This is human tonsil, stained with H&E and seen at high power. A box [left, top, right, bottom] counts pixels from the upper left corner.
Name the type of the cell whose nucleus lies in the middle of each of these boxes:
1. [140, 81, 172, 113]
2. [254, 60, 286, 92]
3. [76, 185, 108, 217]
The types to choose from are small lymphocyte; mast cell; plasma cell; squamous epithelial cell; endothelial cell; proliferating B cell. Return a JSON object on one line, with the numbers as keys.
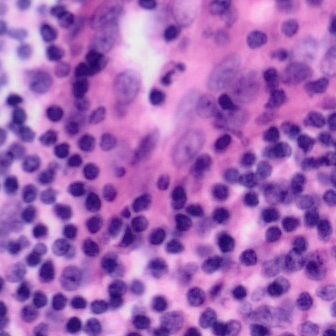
{"1": "endothelial cell", "2": "endothelial cell", "3": "small lymphocyte"}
